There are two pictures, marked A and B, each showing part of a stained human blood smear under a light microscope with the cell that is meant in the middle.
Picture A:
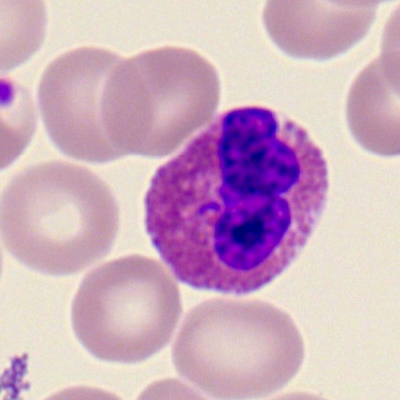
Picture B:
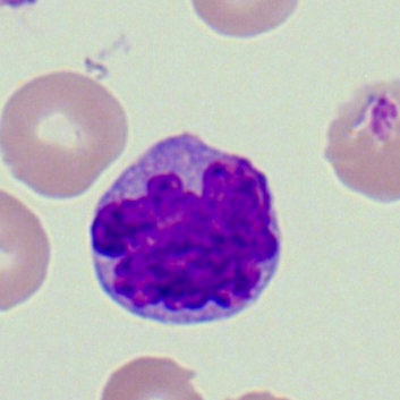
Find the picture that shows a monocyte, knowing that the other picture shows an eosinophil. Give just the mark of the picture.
B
